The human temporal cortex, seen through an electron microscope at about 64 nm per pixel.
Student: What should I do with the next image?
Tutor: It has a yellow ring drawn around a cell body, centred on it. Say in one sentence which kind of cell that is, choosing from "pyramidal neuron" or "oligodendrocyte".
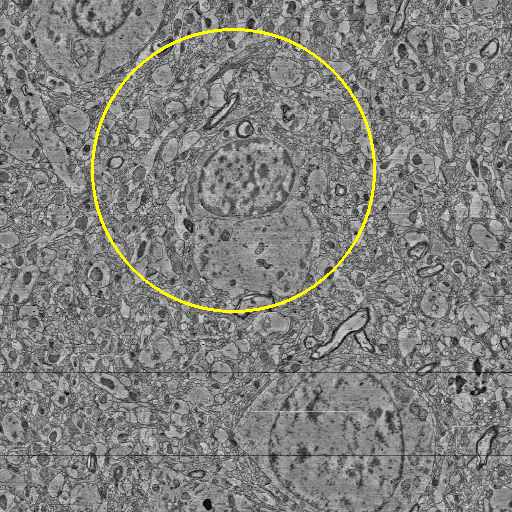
The ring's centre is occupied by an oligodendrocyte.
